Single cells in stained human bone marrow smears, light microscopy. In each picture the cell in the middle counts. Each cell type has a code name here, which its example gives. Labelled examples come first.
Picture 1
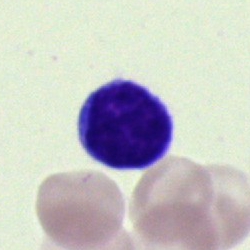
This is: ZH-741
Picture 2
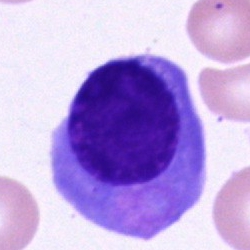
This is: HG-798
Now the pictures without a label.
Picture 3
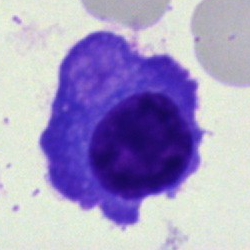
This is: HG-798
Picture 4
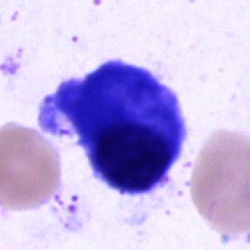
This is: HG-798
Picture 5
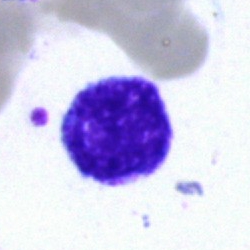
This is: ZH-741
